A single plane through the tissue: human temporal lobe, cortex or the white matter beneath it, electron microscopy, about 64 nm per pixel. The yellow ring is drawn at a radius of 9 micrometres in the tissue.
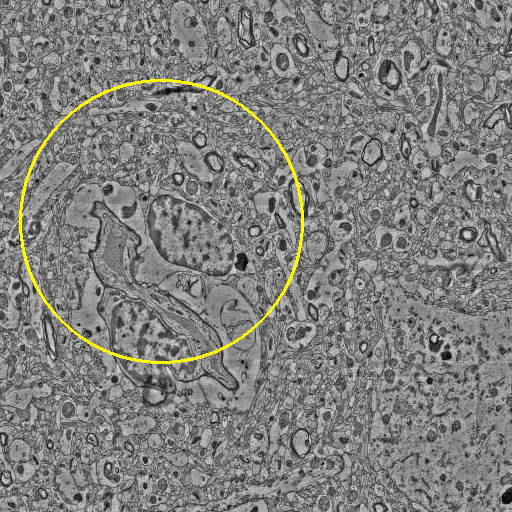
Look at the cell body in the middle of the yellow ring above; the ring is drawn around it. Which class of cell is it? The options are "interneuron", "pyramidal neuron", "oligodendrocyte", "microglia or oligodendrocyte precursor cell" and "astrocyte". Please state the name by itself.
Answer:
microglia or oligodendrocyte precursor cell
